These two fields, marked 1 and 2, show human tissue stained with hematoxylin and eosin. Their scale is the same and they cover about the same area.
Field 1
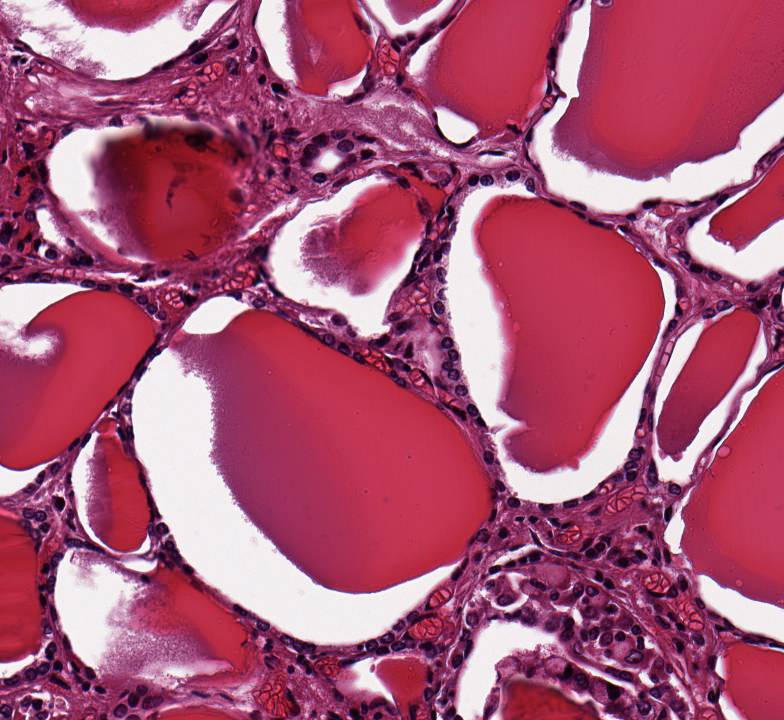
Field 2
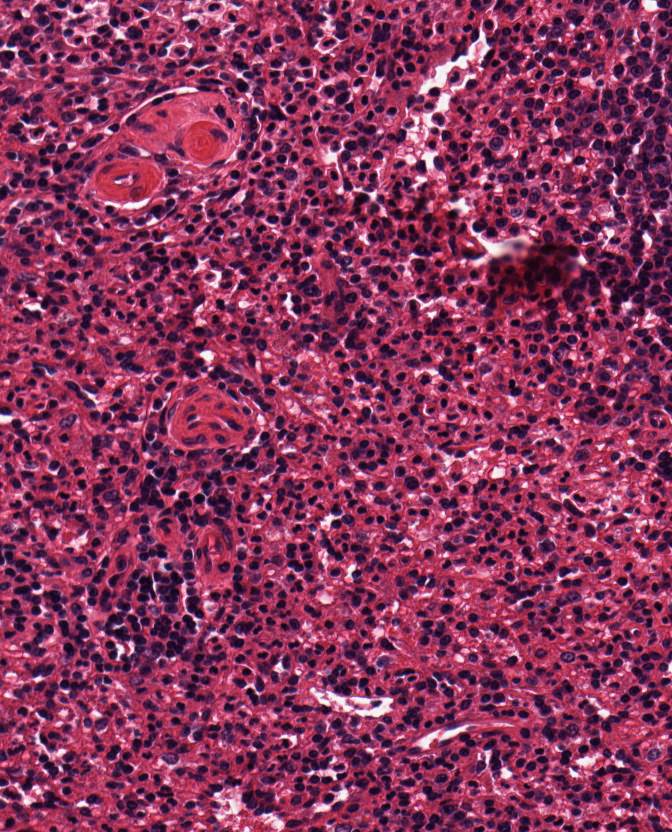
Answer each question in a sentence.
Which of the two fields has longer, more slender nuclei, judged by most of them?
The nuclei are more elongated in field 1.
